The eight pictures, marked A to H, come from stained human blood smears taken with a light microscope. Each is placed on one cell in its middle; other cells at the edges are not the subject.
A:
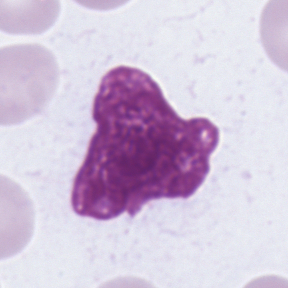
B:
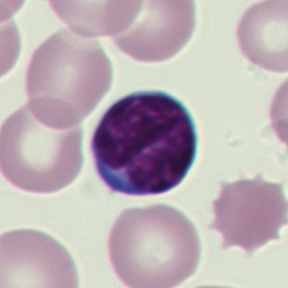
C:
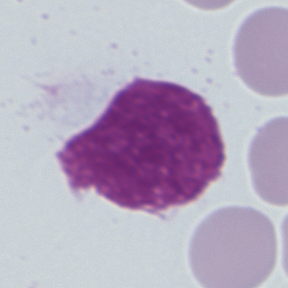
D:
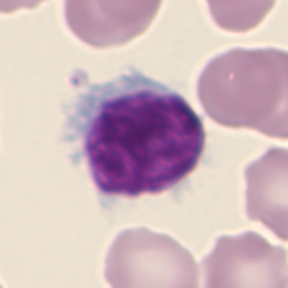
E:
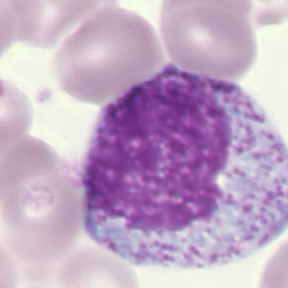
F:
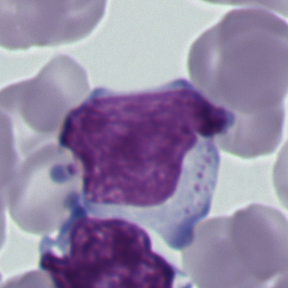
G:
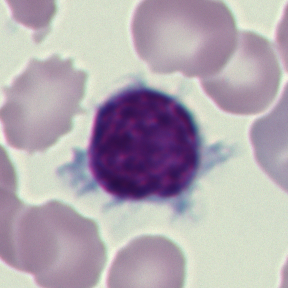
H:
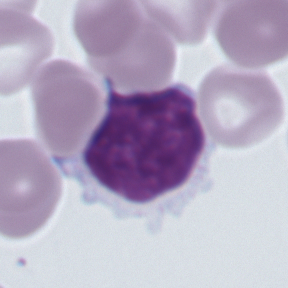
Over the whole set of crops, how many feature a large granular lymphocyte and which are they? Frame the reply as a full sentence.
Where large granular lymphocytes are concerned, two crops show them, namely F and H.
